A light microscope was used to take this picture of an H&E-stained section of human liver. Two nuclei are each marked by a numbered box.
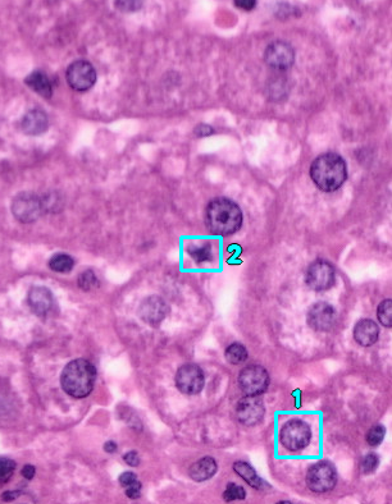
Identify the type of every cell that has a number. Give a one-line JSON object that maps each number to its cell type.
{"1": "hepatocyte", "2": "endothelial cell"}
